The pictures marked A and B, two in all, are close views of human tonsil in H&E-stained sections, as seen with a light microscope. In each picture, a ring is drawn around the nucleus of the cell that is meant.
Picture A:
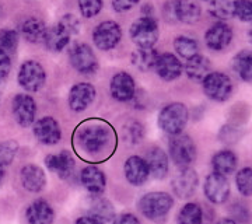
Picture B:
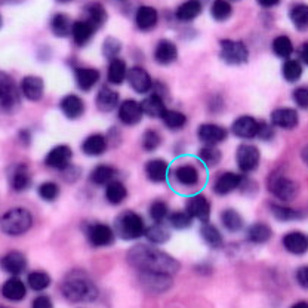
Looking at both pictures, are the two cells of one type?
no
